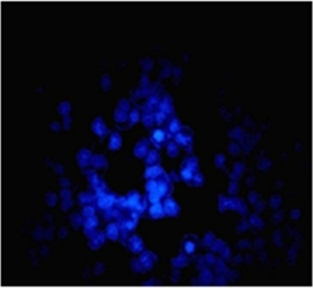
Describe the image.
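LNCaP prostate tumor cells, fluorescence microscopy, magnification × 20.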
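The nuclei are round to oval and of fairly even size, crowded together in a large cluster with some spread around the edges. Many overlap, so the densest part looks like a continuous blue mass with individual nuclei at its rim. A few nuclei are brighter than their neighbours. The cytoplasm is not stained, so the spaces between nuclei stay dark.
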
